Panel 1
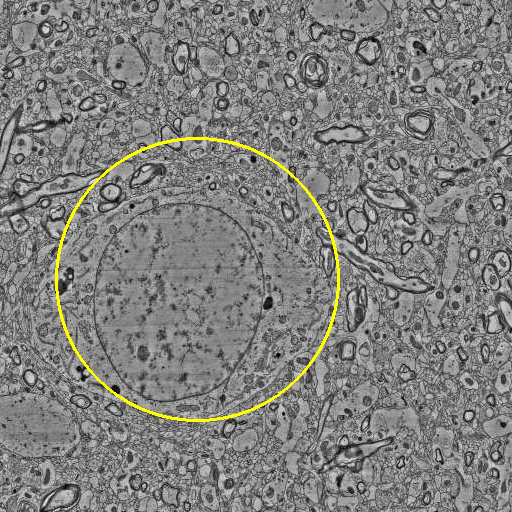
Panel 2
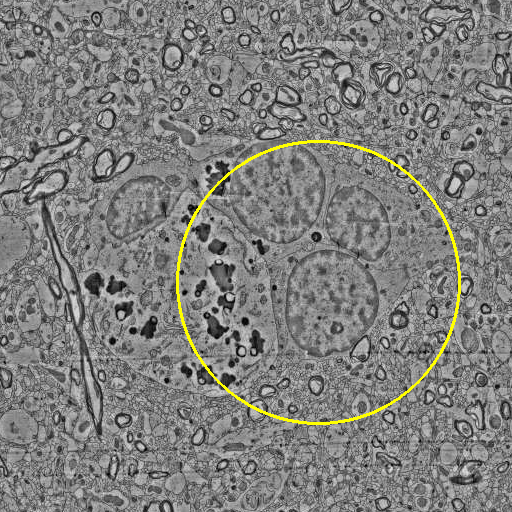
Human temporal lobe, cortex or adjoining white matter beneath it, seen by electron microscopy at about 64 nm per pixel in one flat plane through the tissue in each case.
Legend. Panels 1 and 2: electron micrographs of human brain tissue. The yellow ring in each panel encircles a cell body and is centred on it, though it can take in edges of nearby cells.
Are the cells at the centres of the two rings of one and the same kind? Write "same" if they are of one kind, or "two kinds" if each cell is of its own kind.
two kinds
